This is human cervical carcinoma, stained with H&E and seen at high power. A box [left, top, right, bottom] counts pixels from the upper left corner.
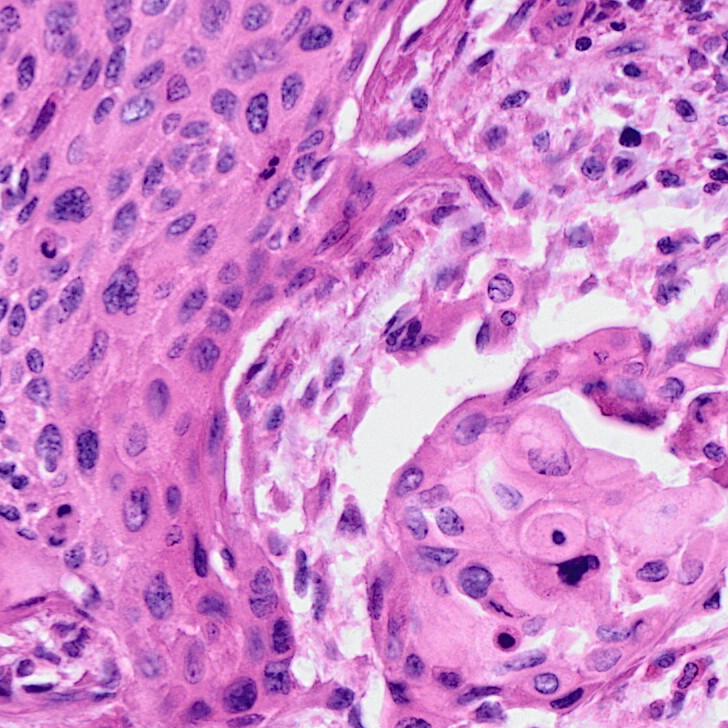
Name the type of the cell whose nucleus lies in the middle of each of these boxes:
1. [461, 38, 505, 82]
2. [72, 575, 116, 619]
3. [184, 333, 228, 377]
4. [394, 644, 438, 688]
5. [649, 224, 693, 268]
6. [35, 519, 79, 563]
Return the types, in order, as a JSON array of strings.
["fibroblast", "squamous carcinoma cell", "squamous carcinoma cell", "squamous carcinoma cell", "lymphocyte", "squamous carcinoma cell"]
